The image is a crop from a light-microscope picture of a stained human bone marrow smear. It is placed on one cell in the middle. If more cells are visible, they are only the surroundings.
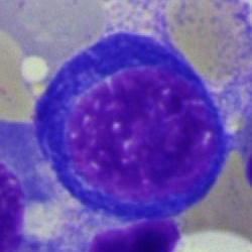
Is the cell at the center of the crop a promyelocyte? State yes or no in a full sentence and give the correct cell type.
No, it is not a promyelocyte that lies in the middle but a proerythroblast.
